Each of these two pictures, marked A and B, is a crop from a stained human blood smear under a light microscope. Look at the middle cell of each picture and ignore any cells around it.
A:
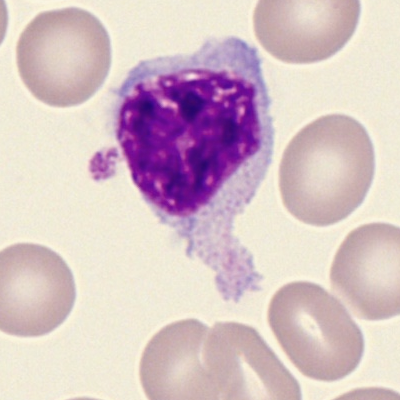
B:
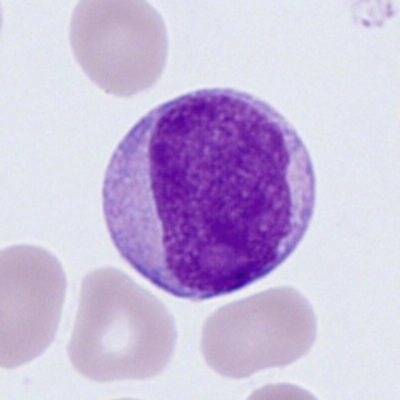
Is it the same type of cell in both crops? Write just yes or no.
no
